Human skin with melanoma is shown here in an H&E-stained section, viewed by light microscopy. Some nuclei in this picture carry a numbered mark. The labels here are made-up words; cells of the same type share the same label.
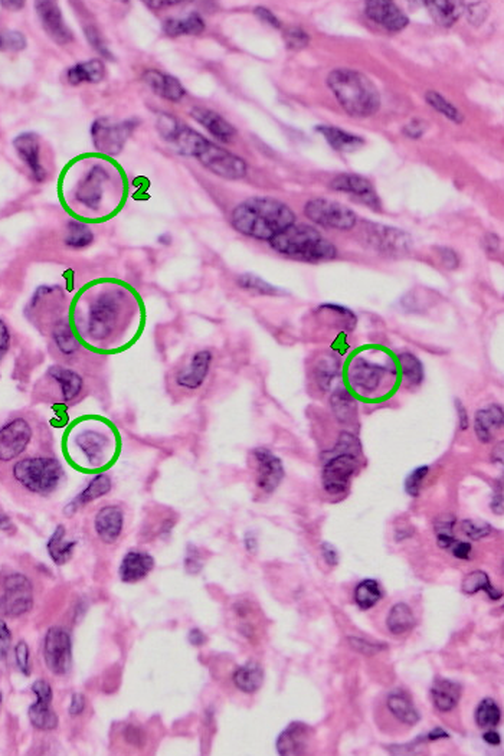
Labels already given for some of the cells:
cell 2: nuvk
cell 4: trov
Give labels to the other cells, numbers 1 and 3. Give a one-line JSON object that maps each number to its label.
{"1": "trov", "3": "trov"}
